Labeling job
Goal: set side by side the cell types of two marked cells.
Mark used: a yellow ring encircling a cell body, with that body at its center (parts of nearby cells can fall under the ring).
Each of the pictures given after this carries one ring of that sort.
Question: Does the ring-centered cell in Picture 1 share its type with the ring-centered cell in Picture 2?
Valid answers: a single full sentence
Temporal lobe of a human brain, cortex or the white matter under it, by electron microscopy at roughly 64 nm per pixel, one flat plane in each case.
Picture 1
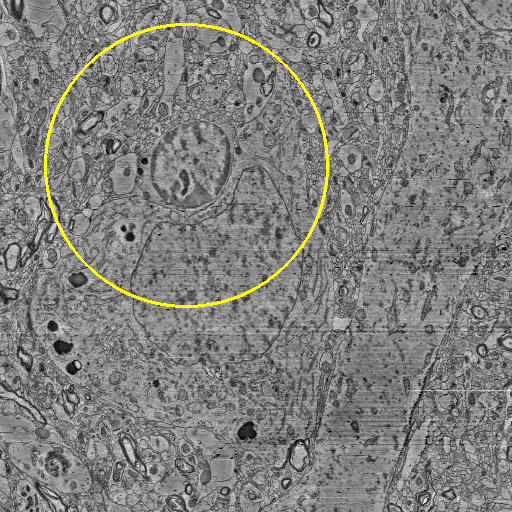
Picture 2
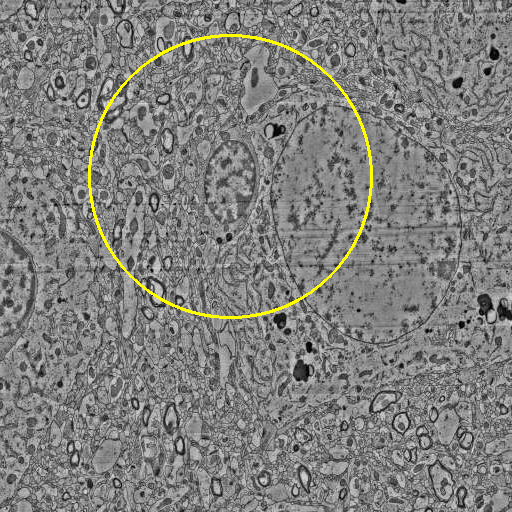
Yes, in Pictures 1 and 2 the cells at the ring centers share one type.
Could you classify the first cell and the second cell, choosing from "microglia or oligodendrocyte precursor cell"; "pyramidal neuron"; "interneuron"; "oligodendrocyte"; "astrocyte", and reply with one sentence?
Each of the two rings is centred on an oligodendrocyte.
